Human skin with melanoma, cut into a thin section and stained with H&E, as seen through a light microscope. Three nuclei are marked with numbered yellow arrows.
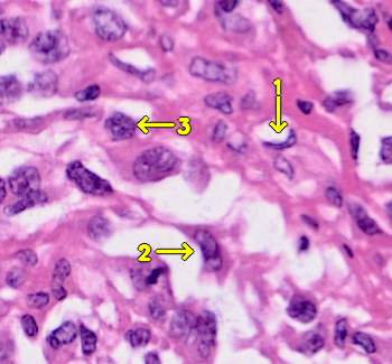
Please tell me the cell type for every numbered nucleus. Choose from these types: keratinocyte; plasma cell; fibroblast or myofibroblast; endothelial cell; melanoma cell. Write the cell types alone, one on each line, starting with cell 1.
endothelial cell
melanoma cell
melanoma cell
